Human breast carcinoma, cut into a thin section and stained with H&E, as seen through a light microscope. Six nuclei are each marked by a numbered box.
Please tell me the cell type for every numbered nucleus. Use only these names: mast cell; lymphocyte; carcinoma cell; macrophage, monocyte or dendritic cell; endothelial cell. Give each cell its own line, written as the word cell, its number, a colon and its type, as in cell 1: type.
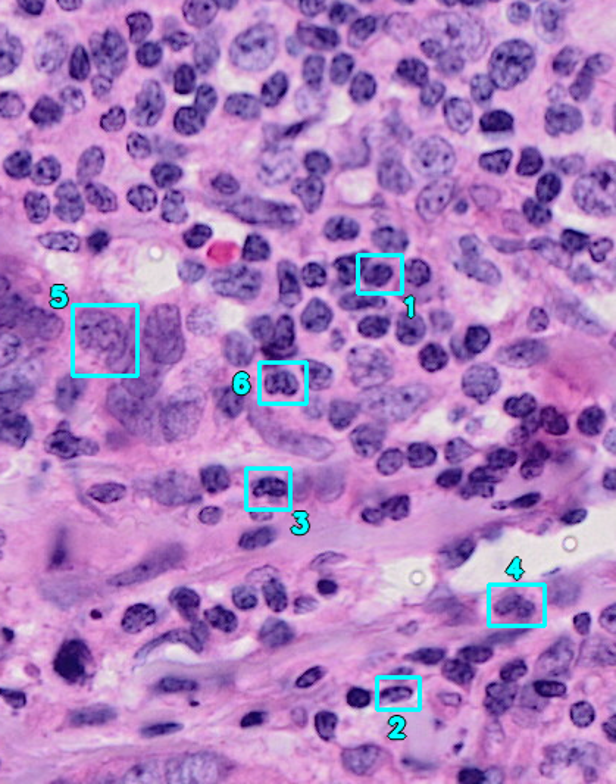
cell 1: lymphocyte
cell 2: lymphocyte
cell 3: lymphocyte
cell 4: mast cell
cell 5: carcinoma cell
cell 6: lymphocyte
